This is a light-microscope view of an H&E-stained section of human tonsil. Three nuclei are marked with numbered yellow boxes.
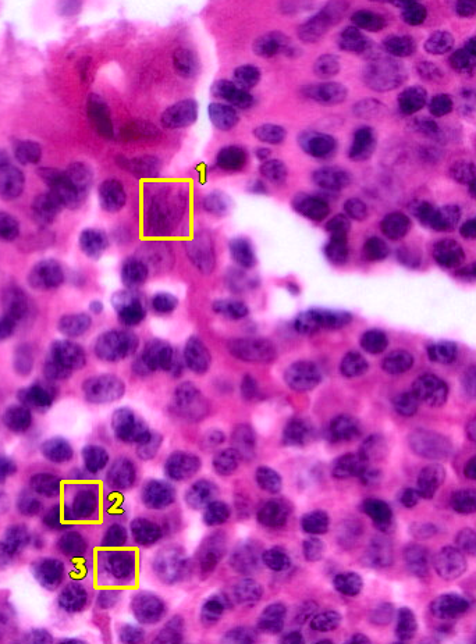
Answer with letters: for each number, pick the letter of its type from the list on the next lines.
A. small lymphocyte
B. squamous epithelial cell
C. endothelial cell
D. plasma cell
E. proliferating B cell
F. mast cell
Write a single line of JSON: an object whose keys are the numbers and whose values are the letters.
{"1": "B", "2": "D", "3": "D"}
